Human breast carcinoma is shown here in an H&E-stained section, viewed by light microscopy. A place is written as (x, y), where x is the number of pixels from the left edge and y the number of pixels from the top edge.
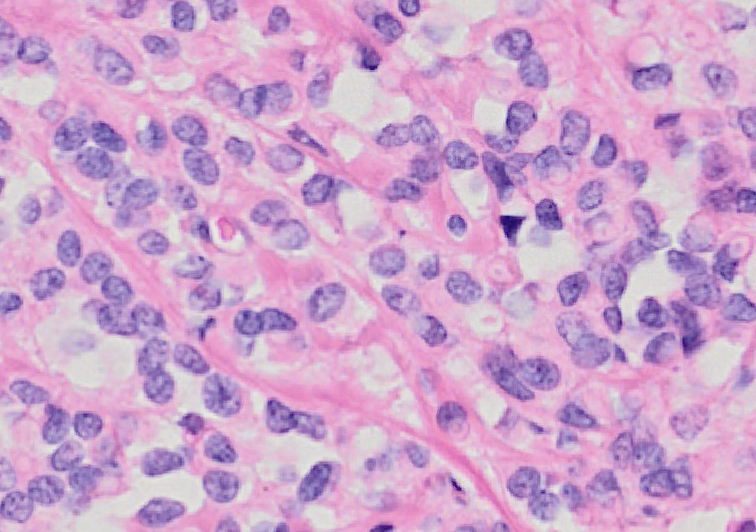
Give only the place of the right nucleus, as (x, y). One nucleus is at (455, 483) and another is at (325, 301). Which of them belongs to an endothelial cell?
(455, 483)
